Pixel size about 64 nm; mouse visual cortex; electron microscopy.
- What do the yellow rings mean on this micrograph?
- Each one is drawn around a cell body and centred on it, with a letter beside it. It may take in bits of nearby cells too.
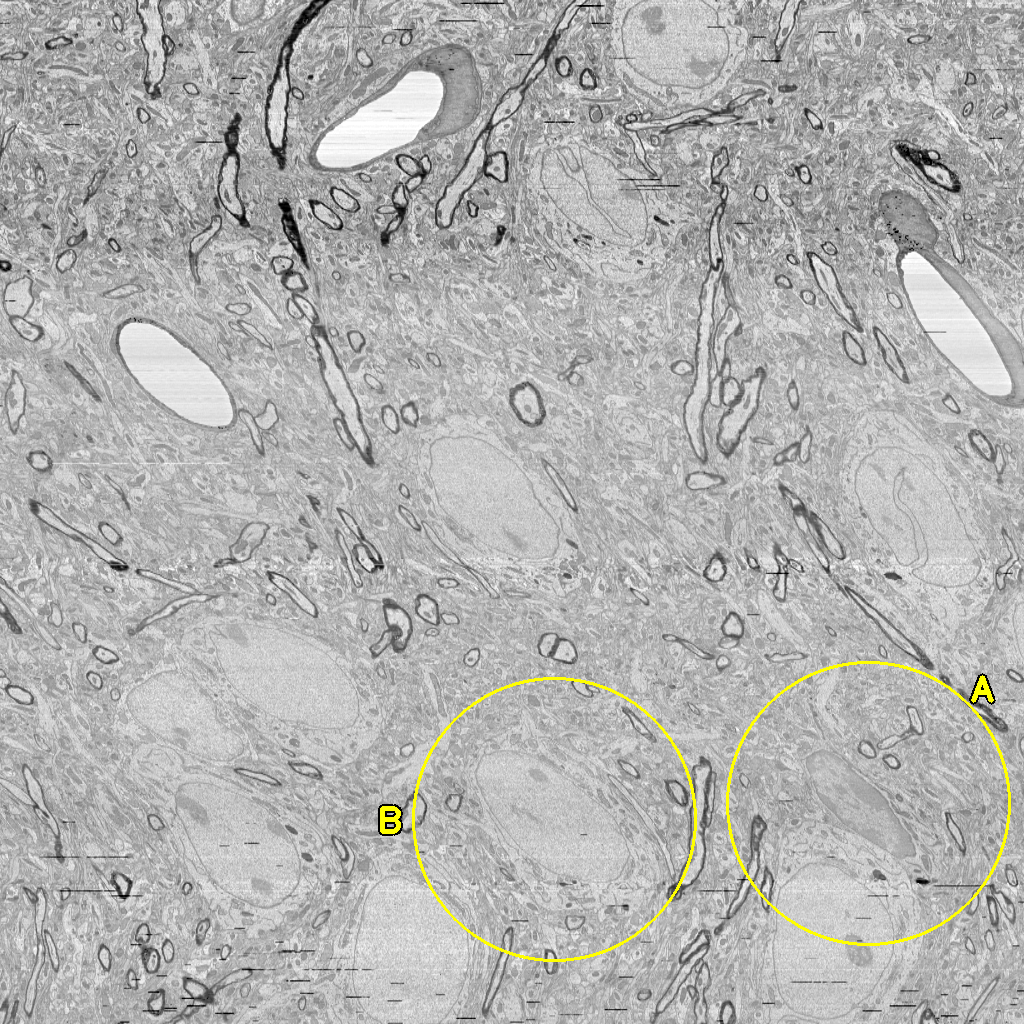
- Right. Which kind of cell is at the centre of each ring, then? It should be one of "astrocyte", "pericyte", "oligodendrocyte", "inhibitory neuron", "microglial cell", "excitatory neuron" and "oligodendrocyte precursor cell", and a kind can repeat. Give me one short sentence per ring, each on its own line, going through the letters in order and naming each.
Ring A circles the cell body of a microglial cell.
Ring B circles the cell body of an excitatory neuron.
